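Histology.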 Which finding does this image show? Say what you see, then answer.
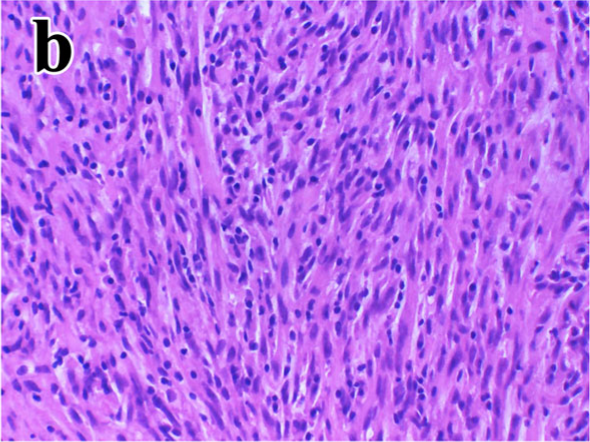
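Nuclei was slightly pleomorphic. Elongated nuclei vary somewhat in size and shape. Some nuclei are plumper and darker than others.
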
